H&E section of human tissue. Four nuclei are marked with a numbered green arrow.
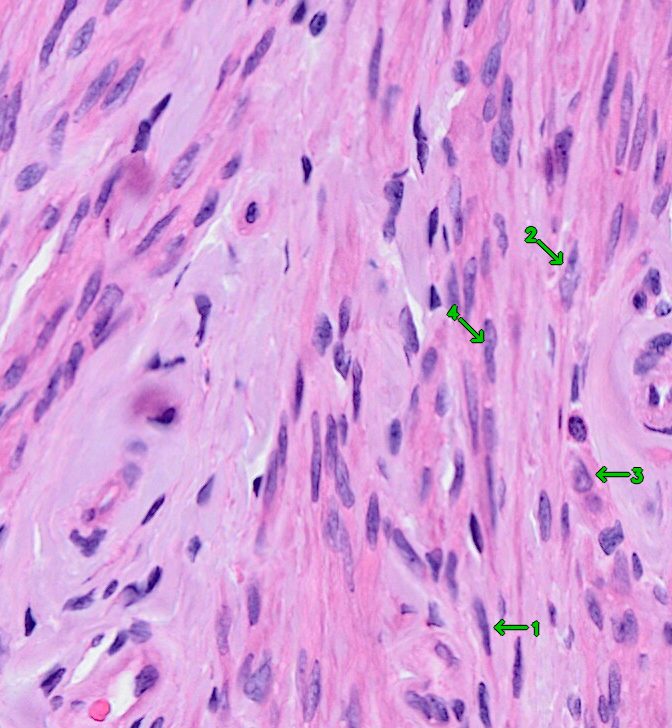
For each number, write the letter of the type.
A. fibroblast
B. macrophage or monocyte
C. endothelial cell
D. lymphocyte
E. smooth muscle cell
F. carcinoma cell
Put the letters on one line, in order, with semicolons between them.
E; E; C; E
